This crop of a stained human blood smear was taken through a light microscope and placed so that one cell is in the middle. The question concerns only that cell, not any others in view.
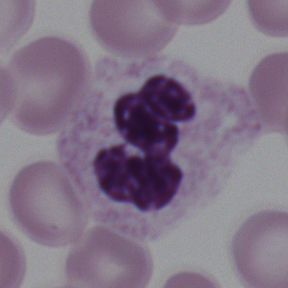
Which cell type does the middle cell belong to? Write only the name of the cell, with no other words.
segmented neutrophil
